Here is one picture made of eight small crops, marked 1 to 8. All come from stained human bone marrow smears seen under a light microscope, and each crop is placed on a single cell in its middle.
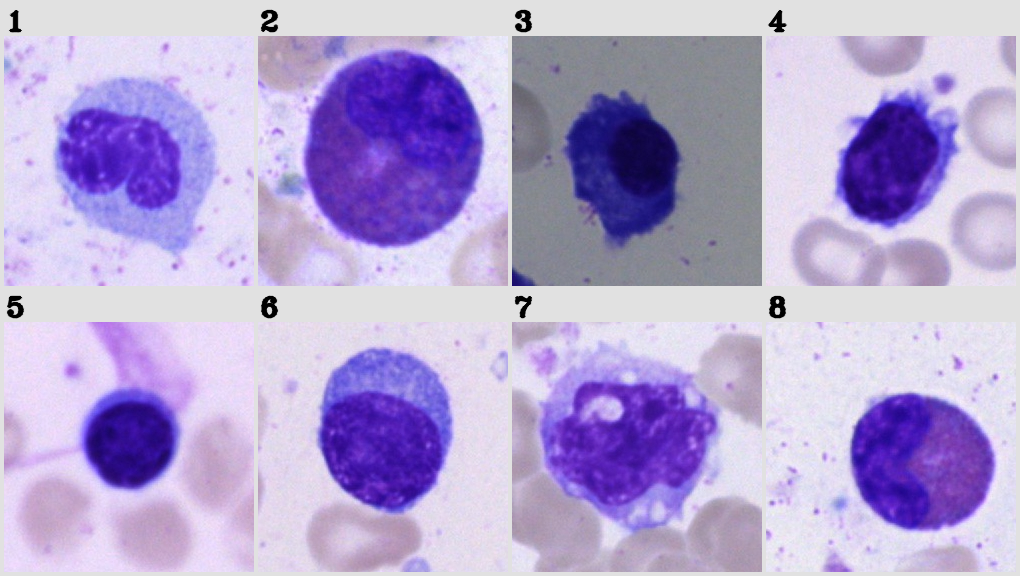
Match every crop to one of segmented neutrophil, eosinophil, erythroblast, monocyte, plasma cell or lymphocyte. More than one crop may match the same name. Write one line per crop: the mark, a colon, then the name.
1: monocyte
2: eosinophil
3: plasma cell
4: lymphocyte
5: lymphocyte
6: plasma cell
7: monocyte
8: eosinophil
